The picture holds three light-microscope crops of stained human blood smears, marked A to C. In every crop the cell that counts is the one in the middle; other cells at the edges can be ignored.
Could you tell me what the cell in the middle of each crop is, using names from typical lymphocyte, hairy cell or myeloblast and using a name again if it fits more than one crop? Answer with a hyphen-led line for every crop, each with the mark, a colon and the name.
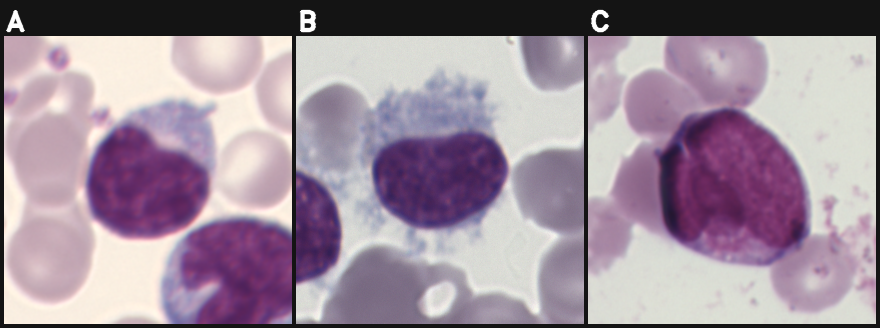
- A: typical lymphocyte
- B: hairy cell
- C: myeloblast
